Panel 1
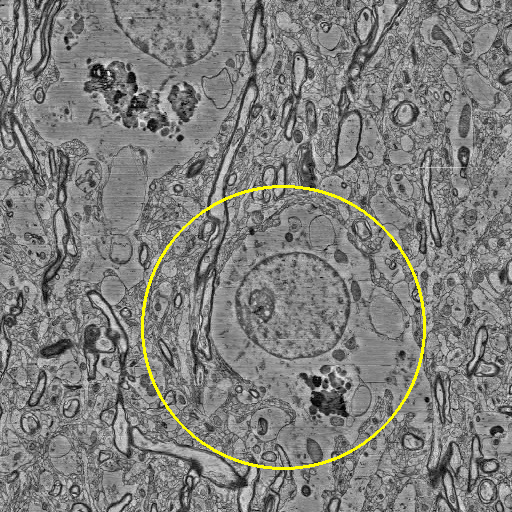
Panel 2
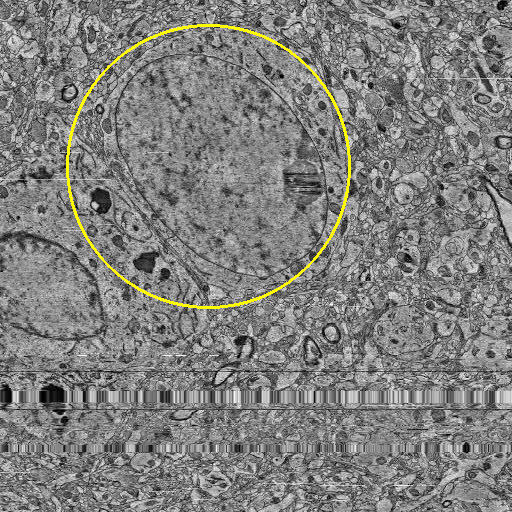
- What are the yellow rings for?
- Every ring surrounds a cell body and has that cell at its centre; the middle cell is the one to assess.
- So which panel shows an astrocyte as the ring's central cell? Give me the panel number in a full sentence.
The panel whose ring is centred on the cell in question is panel 1.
